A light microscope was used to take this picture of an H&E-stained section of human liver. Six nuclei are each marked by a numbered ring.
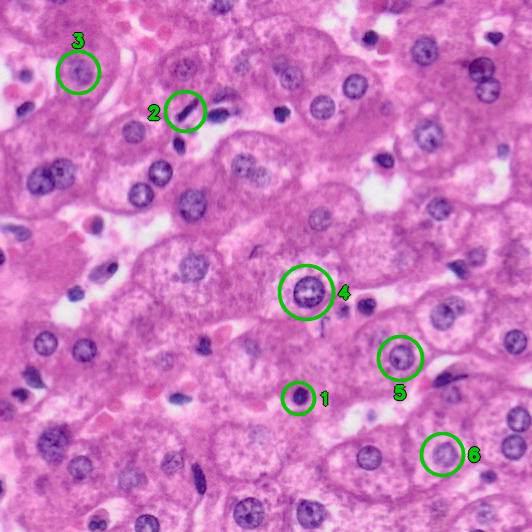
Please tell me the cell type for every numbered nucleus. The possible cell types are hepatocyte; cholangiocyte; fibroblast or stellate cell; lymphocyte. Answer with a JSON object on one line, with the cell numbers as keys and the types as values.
{"1": "lymphocyte", "2": "fibroblast or stellate cell", "3": "hepatocyte", "4": "hepatocyte", "5": "hepatocyte", "6": "hepatocyte"}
